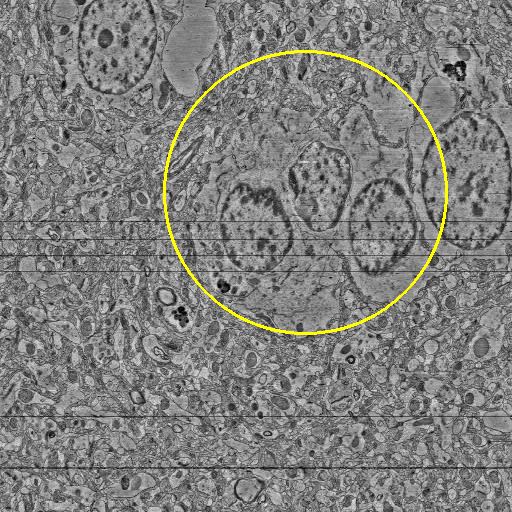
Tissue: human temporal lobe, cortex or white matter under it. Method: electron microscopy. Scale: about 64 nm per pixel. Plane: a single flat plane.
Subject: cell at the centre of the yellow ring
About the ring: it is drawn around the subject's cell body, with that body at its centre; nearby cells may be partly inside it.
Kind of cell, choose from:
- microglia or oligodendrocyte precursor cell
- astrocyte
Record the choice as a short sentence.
The subject cell is a microglial cell or oligodendrocyte precursor cell.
